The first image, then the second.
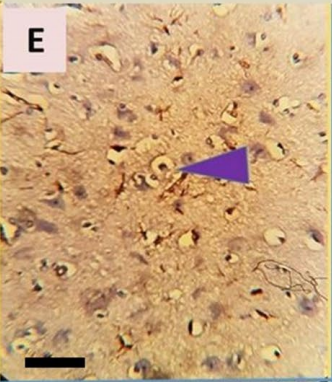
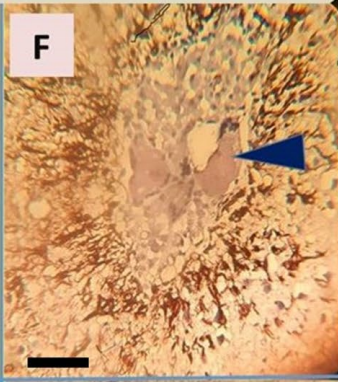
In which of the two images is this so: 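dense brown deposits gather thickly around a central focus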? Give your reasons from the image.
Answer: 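Second image: masses of dark brown, streaky deposits radiate around a pale central area. First image: only scattered thin brown strands among pale cells, with no dense brown aggregate.
Hence: the second image.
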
